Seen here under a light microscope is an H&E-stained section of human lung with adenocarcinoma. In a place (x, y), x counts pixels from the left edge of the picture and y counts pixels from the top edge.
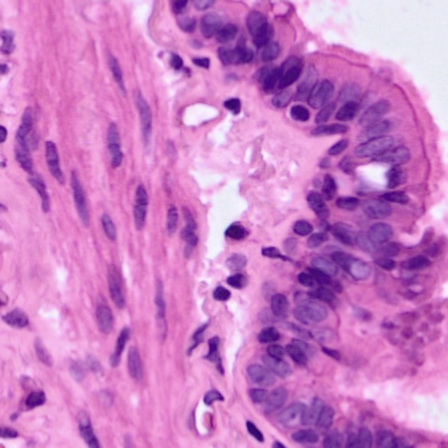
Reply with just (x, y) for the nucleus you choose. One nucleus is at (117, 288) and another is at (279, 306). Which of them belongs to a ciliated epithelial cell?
(279, 306)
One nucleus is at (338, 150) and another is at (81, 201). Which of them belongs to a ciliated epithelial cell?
(338, 150)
